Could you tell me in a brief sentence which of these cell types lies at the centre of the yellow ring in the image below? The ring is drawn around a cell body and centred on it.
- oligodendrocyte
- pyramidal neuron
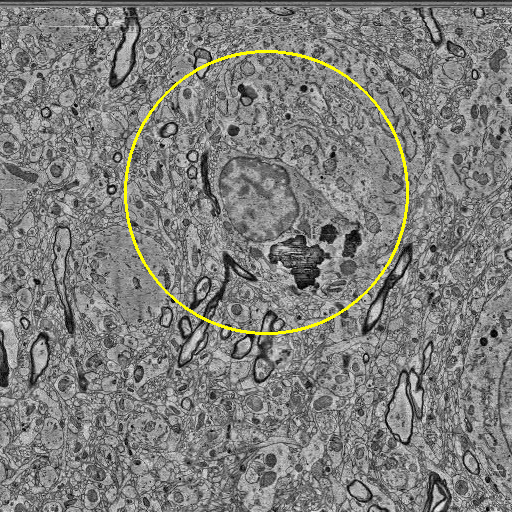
The cell centred in the ring is an oligodendrocyte.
